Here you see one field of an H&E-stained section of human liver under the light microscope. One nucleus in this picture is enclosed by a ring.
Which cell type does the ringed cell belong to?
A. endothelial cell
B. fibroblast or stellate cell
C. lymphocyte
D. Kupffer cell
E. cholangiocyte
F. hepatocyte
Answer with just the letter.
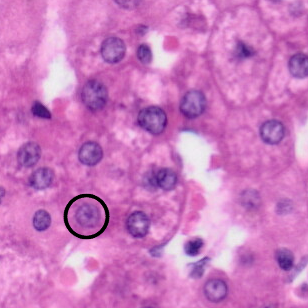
F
